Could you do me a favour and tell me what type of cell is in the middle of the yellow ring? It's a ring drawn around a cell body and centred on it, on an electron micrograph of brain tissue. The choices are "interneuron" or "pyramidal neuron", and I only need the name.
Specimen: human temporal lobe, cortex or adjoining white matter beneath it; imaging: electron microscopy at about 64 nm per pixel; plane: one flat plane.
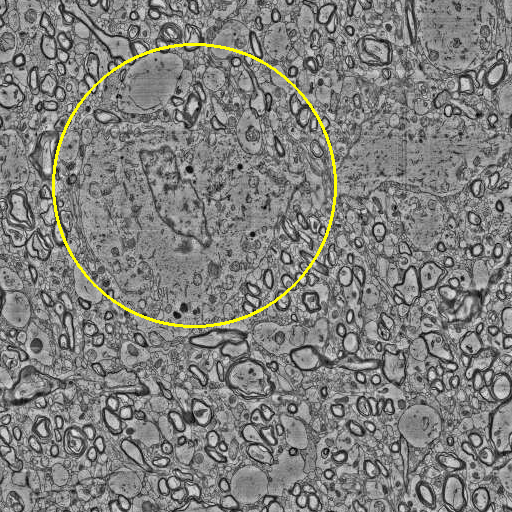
pyramidal neuron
